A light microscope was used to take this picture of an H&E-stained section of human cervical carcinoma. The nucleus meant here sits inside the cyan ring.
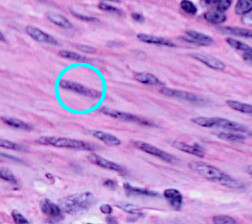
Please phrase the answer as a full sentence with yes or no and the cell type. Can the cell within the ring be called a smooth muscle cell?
Yes, the cell within the ring is correctly named as a smooth muscle cell.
